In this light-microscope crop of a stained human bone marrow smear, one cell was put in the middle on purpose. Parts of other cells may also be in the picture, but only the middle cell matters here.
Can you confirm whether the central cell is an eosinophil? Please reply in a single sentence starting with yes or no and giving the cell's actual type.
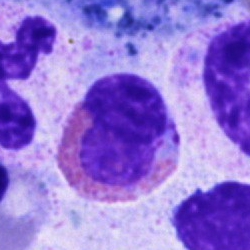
Yes, the cell occupying the middle of the crop is an eosinophil.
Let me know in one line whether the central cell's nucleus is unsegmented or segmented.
Have a look at the nucleus, which is one compact mass, round, oval or kidney-shaped.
